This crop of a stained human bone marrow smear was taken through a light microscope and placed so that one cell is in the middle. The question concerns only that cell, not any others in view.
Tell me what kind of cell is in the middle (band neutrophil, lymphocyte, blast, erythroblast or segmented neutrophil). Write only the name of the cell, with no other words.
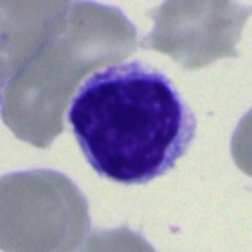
lymphocyte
